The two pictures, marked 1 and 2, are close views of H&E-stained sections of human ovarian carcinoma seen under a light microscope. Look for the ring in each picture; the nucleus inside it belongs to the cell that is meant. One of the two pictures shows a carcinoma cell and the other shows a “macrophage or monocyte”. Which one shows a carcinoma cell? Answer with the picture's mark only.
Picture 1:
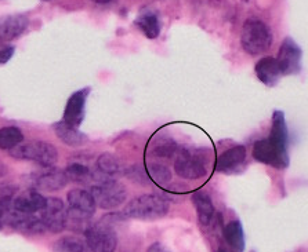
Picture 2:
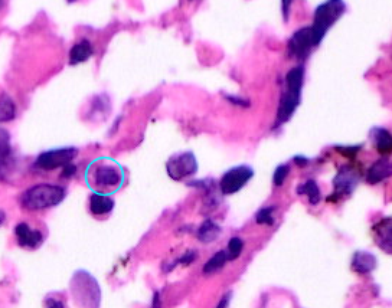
1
